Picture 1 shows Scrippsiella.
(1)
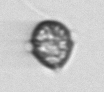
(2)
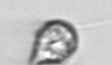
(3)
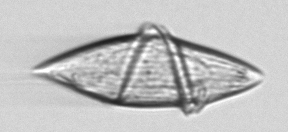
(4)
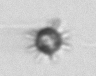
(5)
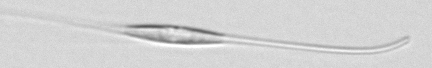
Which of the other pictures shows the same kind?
Picture 2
